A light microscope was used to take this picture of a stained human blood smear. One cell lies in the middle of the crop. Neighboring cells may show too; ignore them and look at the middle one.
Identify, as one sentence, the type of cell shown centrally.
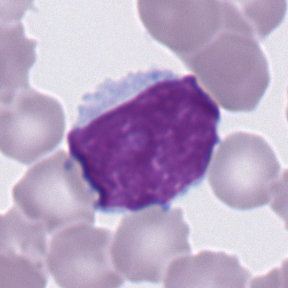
Where the crop is centred, there is a lymphocyte.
